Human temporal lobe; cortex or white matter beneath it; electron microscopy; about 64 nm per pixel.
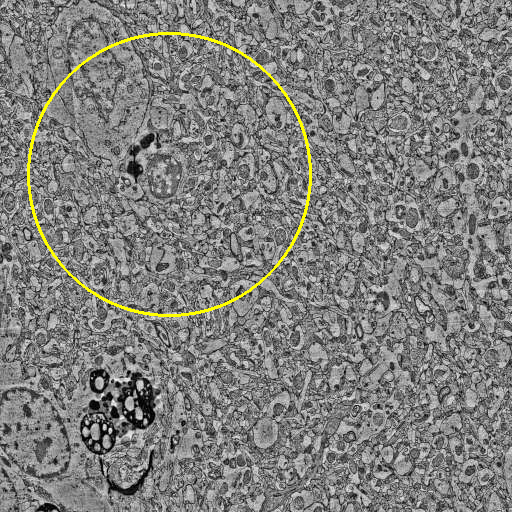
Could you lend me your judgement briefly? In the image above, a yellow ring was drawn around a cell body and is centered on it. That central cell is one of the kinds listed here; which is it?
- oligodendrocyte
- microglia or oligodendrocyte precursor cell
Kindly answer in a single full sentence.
Going by the list, an oligodendrocyte is the kind at the ring's center in the picture.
